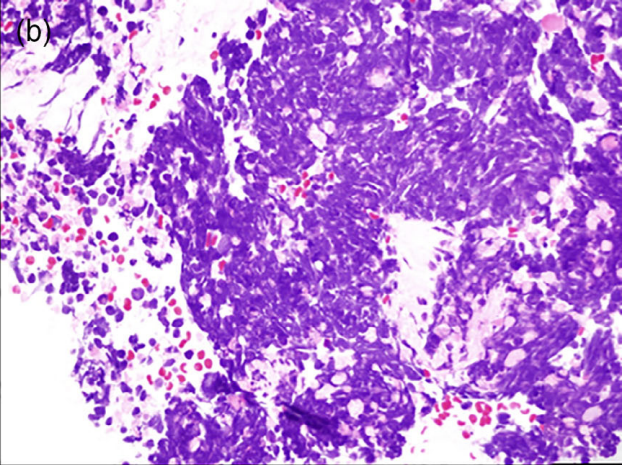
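The cells are small, with dark purple, closely packed nuclei and very little cytoplasm, so the nucleus fills most of each cell. They crowd together and overlap, forming large cohesive clusters rather than lying singly. Scattered red blood cells lie at the edges and between the clusters, and they are only slightly smaller than the tumour cells, which underlines how small these cells are. A few pale pink areas lie between the cell groups.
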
